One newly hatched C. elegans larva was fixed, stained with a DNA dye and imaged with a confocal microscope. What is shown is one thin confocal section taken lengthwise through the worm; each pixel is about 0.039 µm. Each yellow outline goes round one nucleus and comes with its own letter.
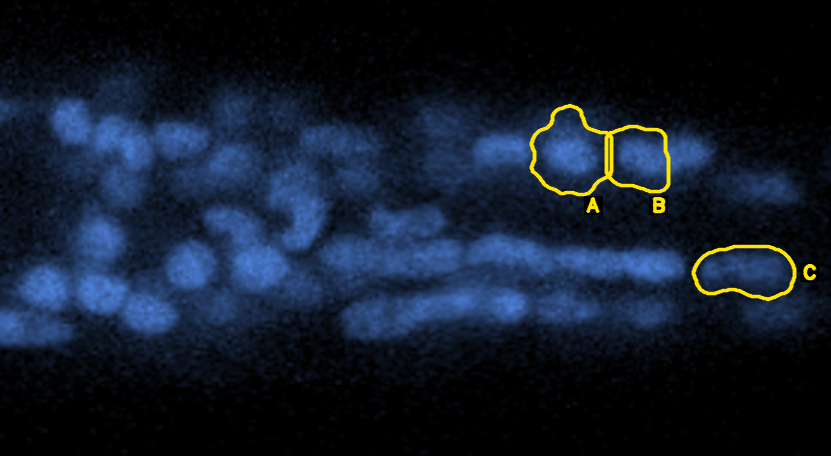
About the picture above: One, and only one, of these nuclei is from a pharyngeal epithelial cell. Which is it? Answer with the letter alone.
C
